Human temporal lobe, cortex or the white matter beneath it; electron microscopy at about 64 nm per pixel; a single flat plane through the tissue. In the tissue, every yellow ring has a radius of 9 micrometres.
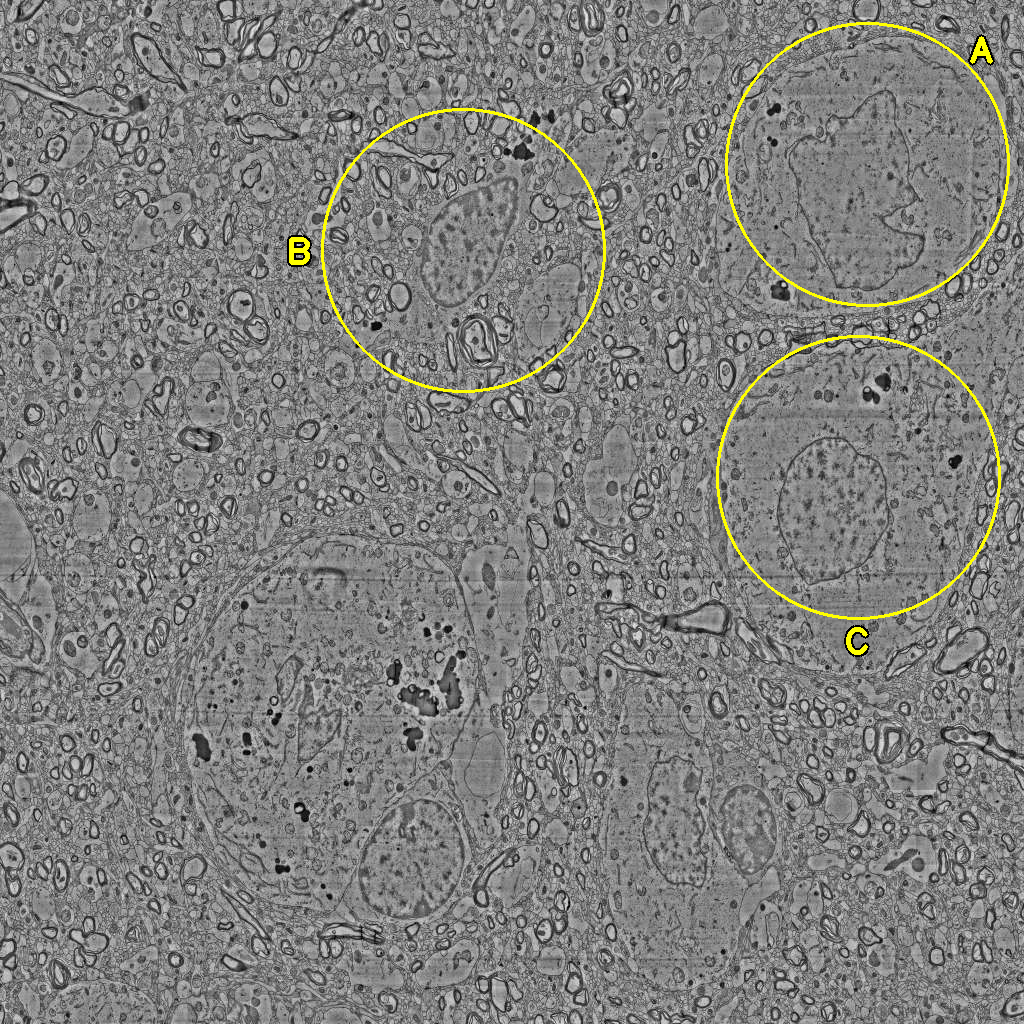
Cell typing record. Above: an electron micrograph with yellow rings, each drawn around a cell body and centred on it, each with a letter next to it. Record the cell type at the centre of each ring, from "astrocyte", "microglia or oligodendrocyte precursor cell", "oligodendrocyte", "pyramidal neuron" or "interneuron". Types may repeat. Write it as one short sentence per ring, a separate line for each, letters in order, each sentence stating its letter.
Ring A circles a pyramidal neuron.
Ring B circles an oligodendrocyte.
Ring C circles a pyramidal neuron.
